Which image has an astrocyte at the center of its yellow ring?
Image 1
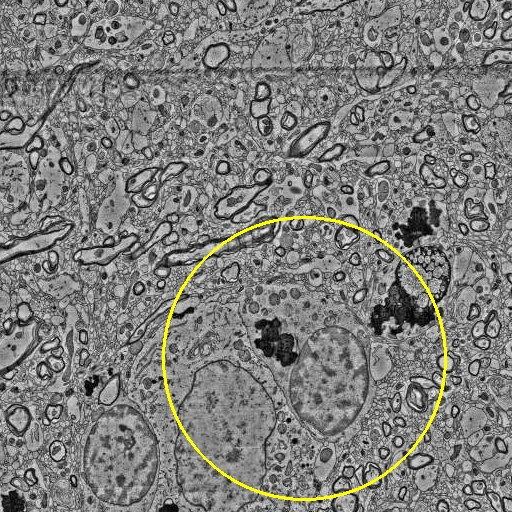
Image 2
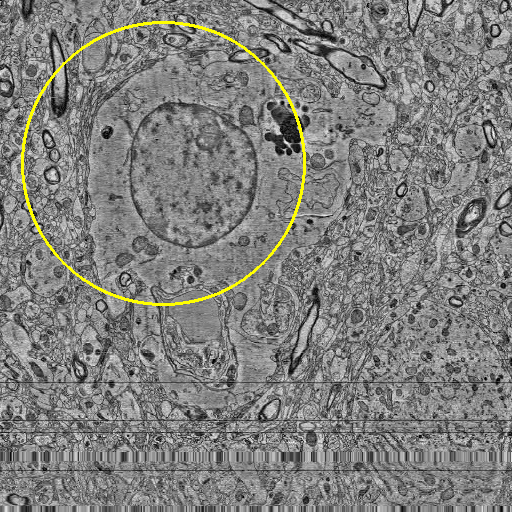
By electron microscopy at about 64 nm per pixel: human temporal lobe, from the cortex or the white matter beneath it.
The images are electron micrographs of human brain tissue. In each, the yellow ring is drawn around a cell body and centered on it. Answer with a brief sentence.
It is at the center of the ring in Image 2.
